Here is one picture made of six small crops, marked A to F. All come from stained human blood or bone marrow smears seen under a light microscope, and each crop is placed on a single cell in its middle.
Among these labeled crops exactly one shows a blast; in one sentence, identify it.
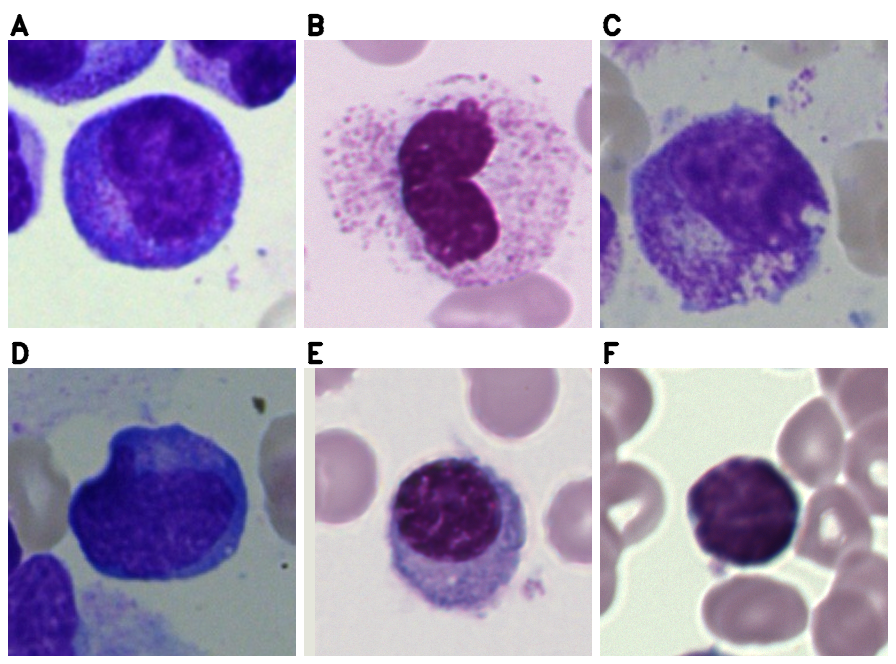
Among the crops, only crop D contains a blast.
